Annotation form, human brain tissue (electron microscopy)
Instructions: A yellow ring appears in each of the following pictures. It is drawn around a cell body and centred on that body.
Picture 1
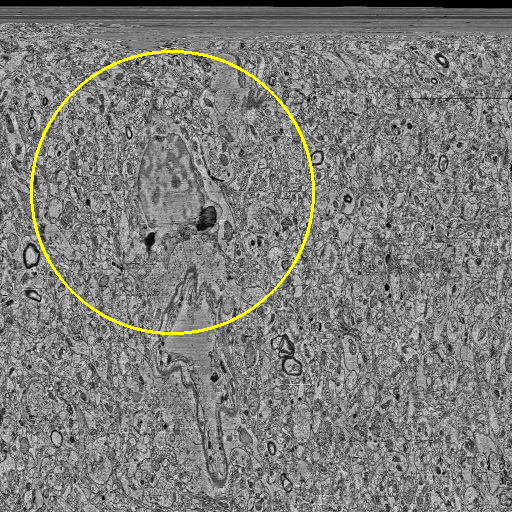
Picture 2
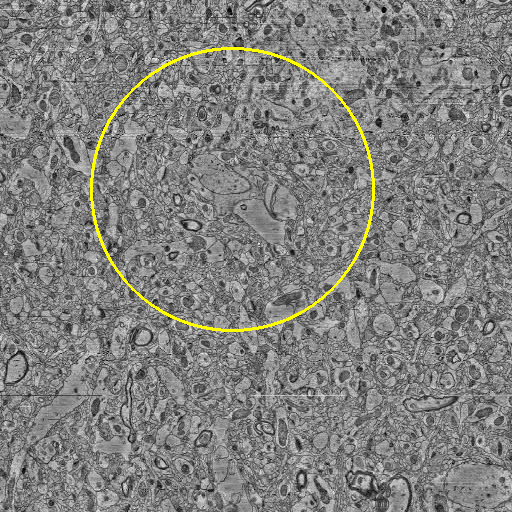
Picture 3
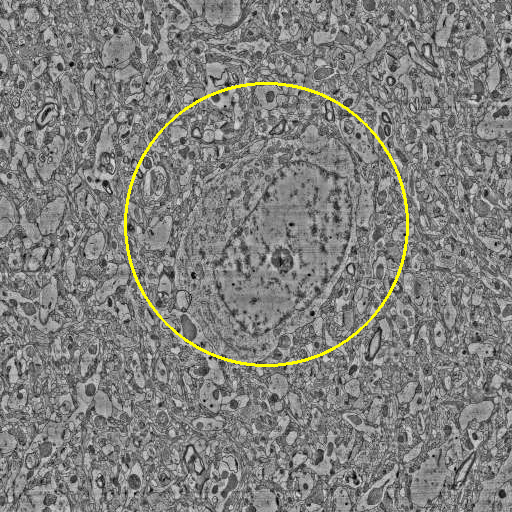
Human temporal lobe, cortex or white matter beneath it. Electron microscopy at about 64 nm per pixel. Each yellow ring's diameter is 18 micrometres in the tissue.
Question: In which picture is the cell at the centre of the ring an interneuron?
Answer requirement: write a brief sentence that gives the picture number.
The cell at the centre of the ring in Picture 3 is the one asked for.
